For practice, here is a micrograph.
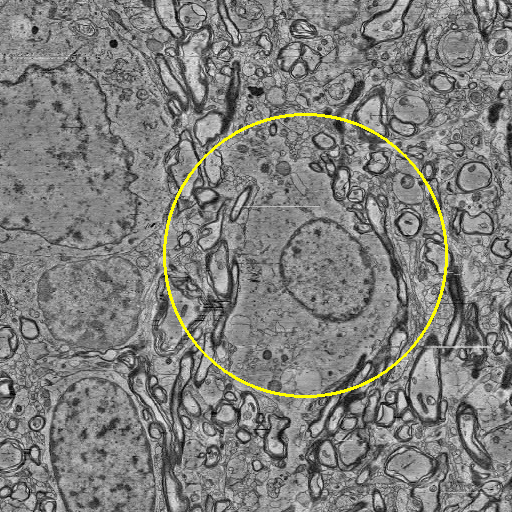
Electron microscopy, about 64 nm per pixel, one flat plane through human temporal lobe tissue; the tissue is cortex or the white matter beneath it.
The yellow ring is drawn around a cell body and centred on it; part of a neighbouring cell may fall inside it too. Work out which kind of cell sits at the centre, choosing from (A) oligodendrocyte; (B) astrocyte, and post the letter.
B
